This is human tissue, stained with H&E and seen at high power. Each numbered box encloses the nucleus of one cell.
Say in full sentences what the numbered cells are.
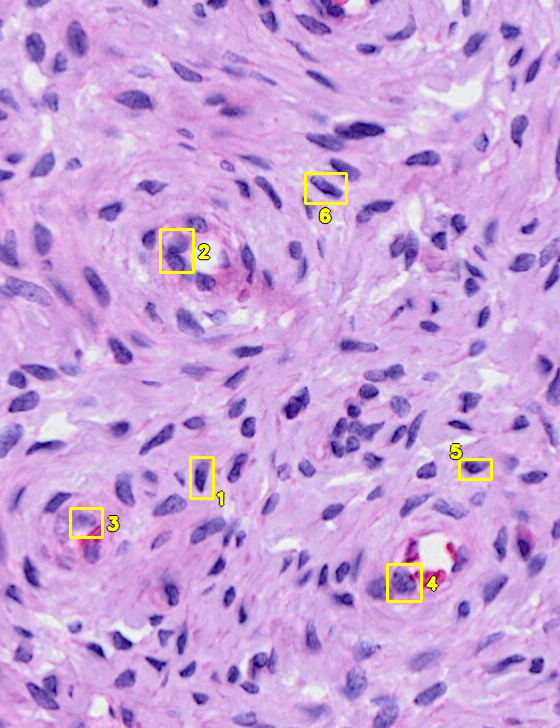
Cell 1 is a fibroblast, cell 2 is an endothelial cell, cell 3 is an endothelial cell, cell 4 is an endothelial cell, cell 5 is a fibroblast and cell 6 is a fibroblast.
